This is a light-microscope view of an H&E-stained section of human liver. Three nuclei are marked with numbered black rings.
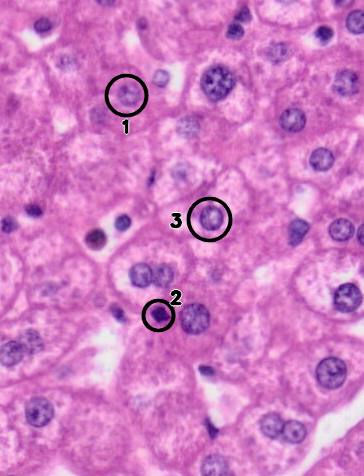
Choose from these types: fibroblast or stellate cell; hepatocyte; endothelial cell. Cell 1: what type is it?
hepatocyte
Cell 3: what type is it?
hepatocyte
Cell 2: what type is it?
fibroblast or stellate cell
